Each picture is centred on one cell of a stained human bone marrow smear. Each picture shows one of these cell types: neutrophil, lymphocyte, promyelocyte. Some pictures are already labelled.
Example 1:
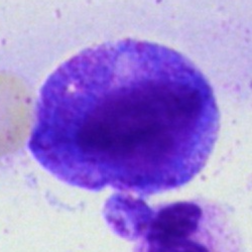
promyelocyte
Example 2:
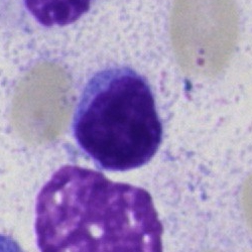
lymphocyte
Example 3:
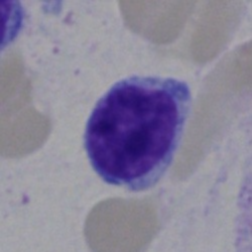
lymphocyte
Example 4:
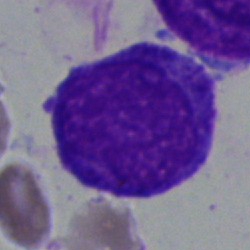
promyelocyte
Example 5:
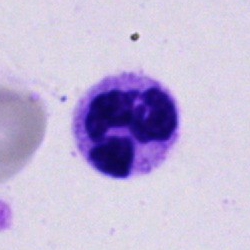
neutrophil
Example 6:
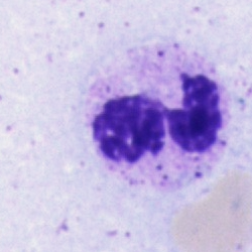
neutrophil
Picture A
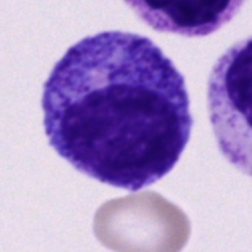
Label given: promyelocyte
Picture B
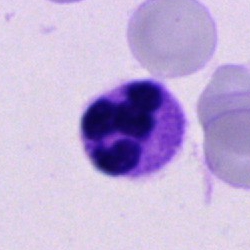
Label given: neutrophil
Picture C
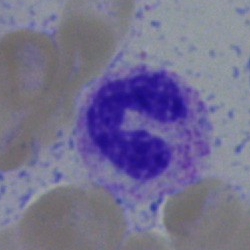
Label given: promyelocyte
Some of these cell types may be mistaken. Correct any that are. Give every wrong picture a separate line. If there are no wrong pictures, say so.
C: change promyelocyte to neutrophil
